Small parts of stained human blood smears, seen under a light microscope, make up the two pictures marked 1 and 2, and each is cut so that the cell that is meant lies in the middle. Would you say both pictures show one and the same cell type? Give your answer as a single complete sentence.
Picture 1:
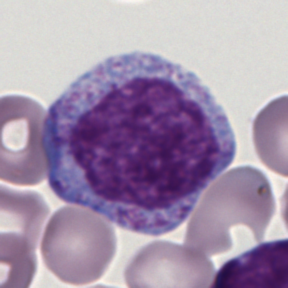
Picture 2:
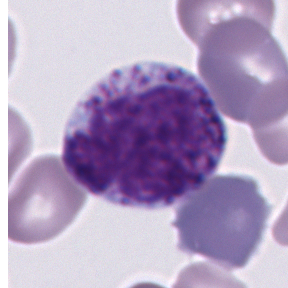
No; the cell in picture 1 is a promyelocyte, while the one in picture 2 is a basophil.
